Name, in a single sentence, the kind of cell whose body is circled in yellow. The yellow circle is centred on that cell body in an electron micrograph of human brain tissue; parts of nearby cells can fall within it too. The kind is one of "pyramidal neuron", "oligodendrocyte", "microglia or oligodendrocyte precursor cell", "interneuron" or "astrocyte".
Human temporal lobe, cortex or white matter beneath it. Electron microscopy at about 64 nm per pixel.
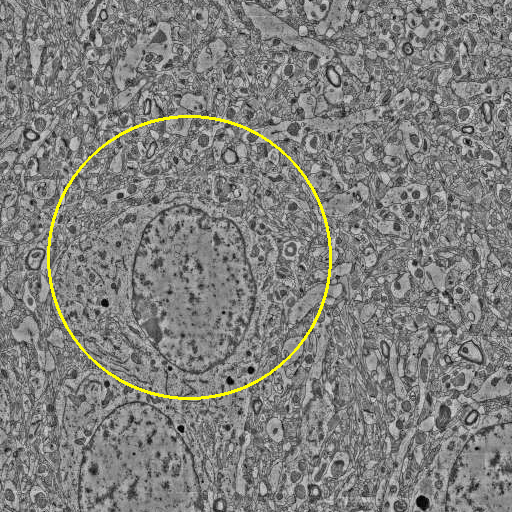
The circled cell body belongs to a pyramidal neuron.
